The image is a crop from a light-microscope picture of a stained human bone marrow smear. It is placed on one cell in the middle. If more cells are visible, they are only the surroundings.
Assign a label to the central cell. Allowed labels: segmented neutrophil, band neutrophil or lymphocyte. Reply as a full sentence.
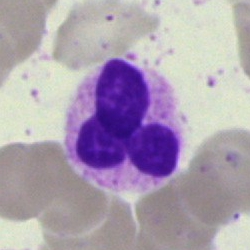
In short, the cell at the center is a segmented neutrophil.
